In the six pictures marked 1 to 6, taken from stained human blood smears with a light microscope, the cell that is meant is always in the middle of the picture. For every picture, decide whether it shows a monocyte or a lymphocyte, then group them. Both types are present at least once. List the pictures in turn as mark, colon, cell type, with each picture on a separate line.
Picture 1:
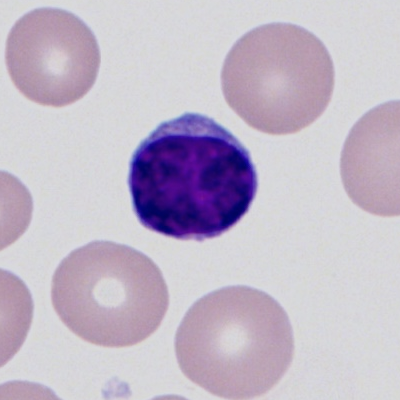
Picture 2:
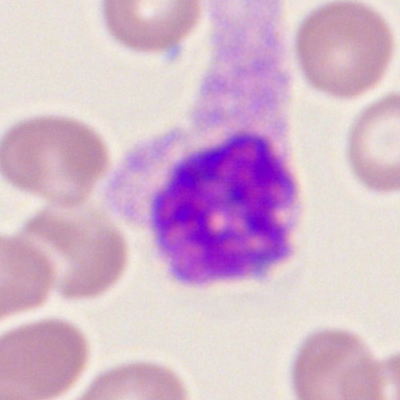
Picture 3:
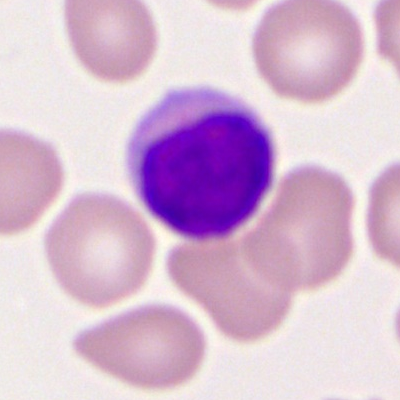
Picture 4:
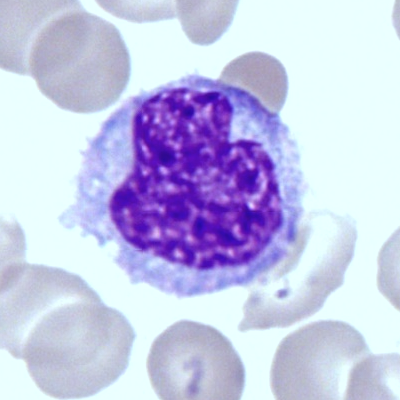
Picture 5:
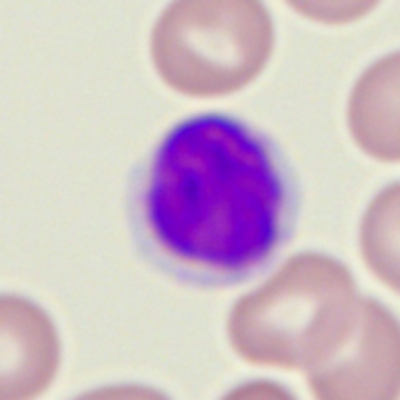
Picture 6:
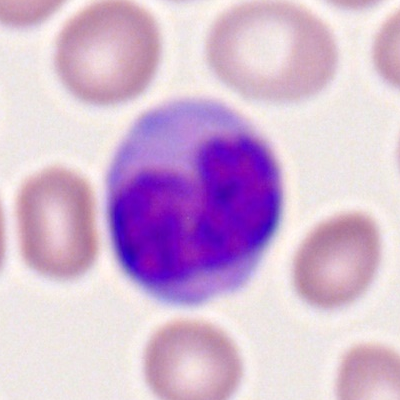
1: lymphocyte
2: monocyte
3: lymphocyte
4: monocyte
5: lymphocyte
6: monocyte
